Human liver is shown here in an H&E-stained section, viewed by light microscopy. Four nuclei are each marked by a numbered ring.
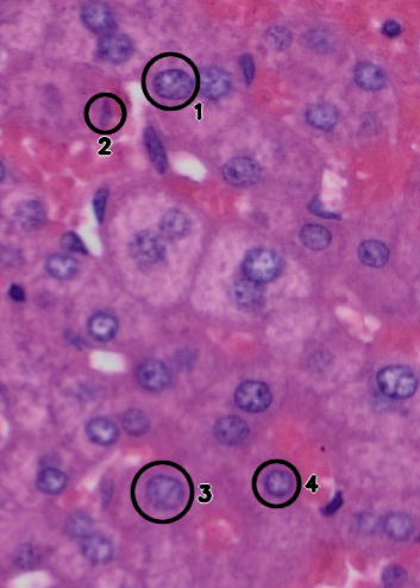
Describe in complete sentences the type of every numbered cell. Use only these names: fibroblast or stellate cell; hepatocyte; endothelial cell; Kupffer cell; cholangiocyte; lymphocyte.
Cell 1 is a hepatocyte, cell 2 is an endothelial cell, cell 3 is a hepatocyte and cell 4 is a hepatocyte.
